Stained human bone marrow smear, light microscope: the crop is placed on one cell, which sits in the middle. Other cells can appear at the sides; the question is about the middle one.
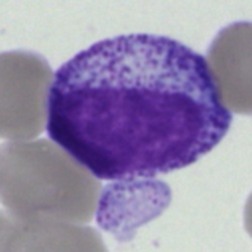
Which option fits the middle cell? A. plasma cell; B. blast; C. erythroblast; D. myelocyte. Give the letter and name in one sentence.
Option D is accurate; the centrally placed cell is a myelocyte.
